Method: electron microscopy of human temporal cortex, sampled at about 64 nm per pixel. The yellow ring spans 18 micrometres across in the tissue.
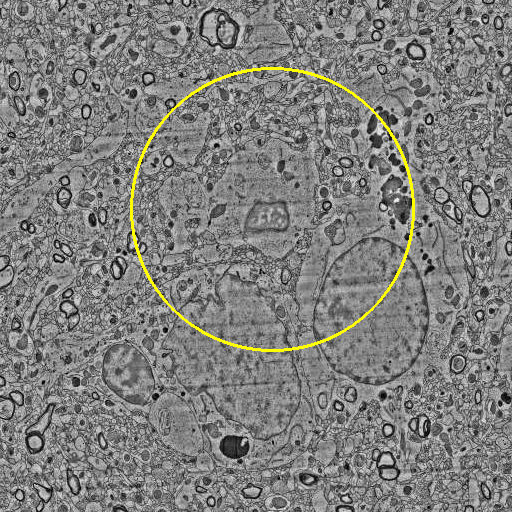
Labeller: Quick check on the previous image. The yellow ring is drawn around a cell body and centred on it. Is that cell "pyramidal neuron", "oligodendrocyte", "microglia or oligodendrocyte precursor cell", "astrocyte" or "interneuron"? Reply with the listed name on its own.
astrocyte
